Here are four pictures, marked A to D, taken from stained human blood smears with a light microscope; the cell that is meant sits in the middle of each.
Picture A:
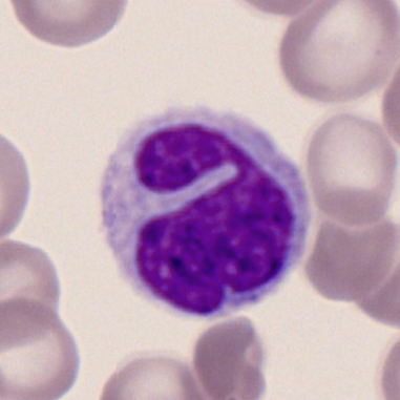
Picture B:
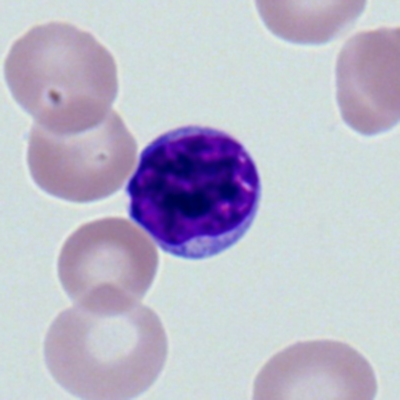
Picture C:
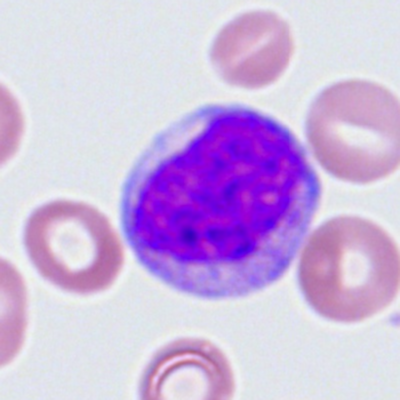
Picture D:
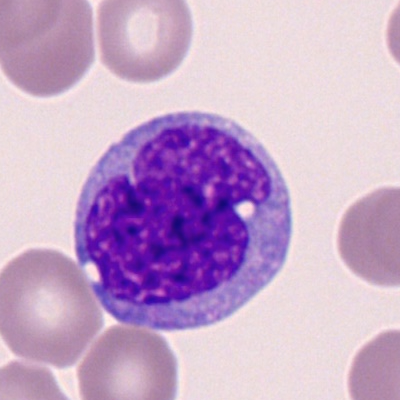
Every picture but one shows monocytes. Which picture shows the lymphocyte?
B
